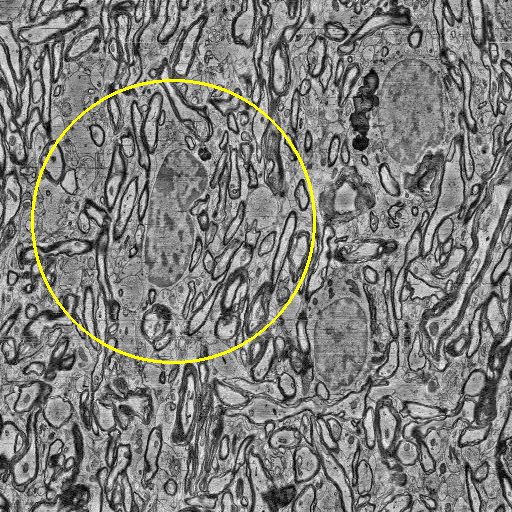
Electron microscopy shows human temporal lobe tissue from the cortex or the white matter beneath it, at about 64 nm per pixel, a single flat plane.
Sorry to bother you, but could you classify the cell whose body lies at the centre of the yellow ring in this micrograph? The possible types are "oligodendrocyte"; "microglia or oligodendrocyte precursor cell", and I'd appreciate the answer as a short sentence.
The ringed cell body is that of a microglial cell or oligodendrocyte precursor cell.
